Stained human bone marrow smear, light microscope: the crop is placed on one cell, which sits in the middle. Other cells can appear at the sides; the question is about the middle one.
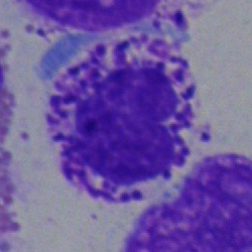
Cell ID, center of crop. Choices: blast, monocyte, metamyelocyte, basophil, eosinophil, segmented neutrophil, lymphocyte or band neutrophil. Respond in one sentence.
The cell occupying the middle of the crop is a basophil.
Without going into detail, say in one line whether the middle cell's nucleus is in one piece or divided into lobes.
Nuclear material here is separated into two or more segments.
